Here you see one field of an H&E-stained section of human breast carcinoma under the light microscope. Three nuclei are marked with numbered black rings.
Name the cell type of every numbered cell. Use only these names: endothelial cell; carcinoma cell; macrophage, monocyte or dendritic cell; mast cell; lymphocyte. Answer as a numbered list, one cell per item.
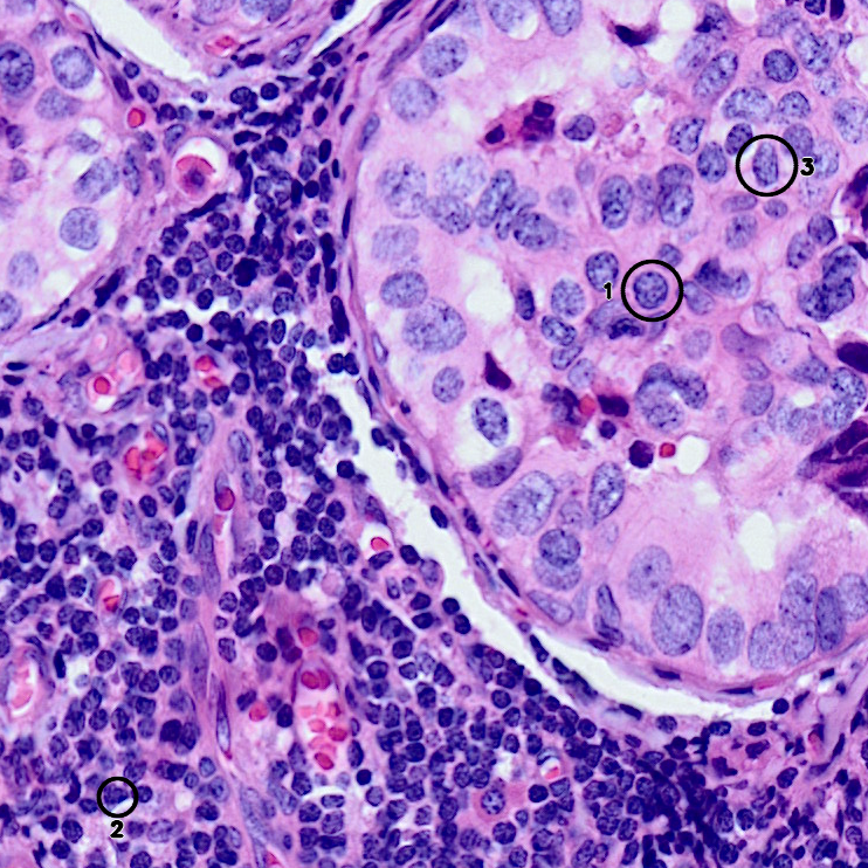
1. carcinoma cell
2. lymphocyte
3. carcinoma cell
